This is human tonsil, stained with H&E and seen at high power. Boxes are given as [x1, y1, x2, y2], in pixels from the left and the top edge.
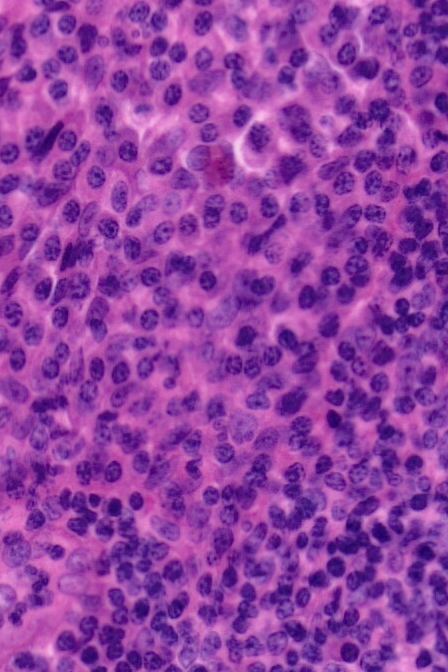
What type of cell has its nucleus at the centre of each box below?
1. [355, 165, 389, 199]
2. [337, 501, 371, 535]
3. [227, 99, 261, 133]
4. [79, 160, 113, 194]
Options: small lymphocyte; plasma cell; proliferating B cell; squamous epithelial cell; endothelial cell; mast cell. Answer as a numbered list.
1. plasma cell
2. small lymphocyte
3. plasma cell
4. plasma cell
